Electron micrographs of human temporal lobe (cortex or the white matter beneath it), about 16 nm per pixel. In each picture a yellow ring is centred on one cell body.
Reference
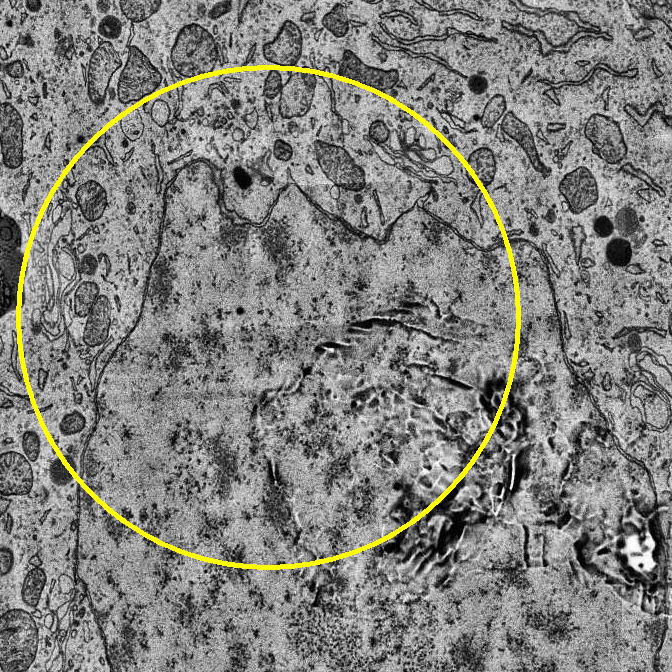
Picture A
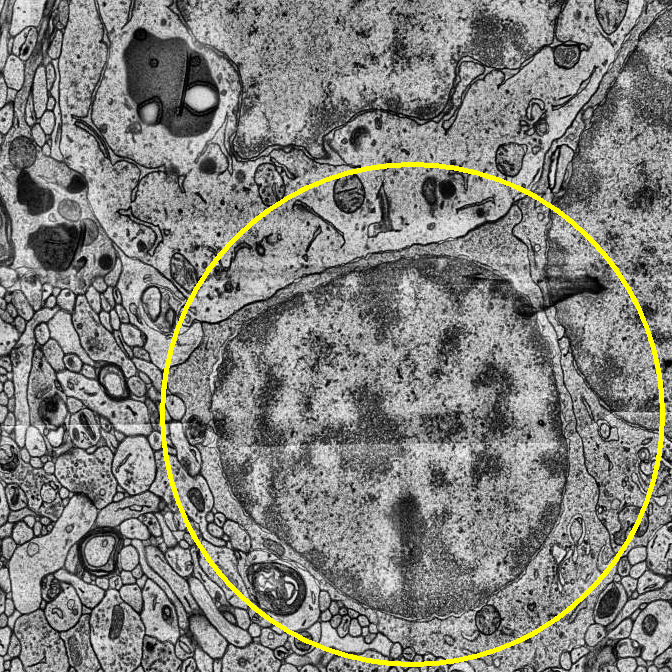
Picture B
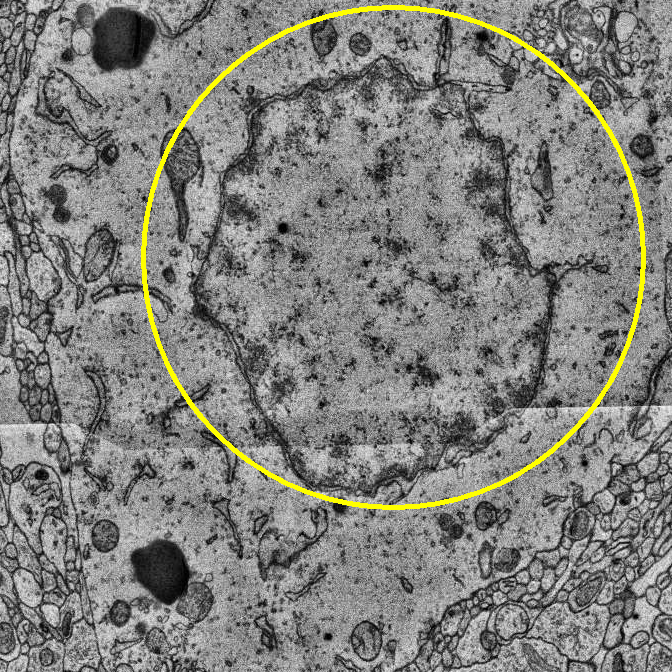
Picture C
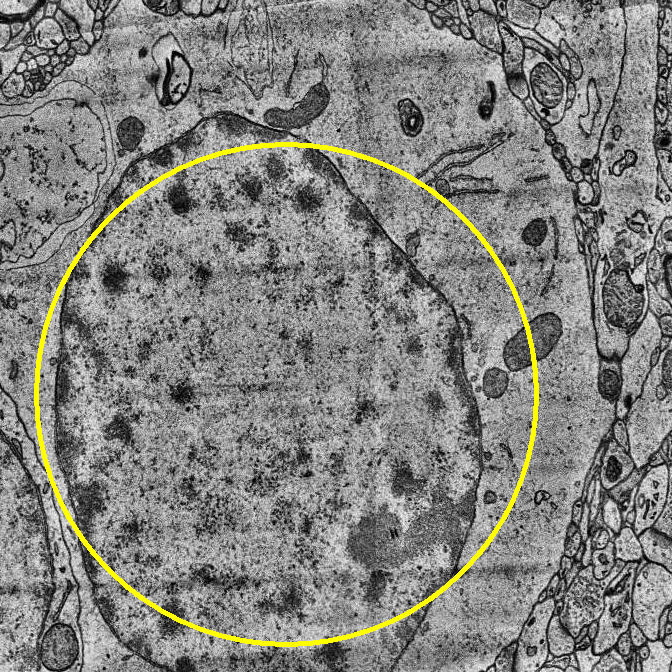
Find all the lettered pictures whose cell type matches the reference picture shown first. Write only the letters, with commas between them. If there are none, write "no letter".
no letter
